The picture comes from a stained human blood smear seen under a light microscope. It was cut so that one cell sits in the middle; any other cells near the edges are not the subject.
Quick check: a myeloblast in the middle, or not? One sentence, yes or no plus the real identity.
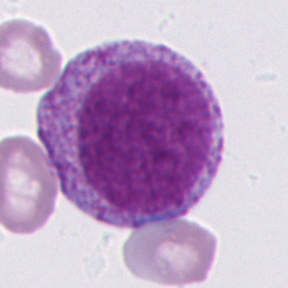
No, the cell in the middle should be called a promyelocyte instead of a myeloblast.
